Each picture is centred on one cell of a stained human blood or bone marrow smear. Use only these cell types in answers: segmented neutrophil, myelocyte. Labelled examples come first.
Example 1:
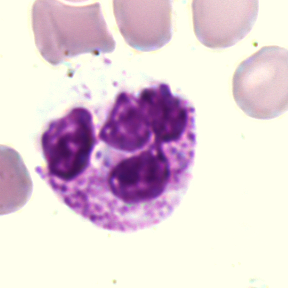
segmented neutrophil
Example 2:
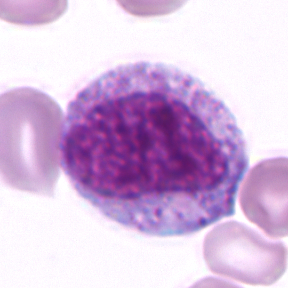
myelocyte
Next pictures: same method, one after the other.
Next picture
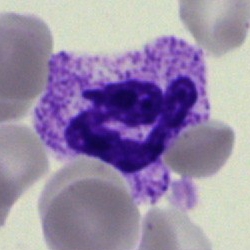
segmented neutrophil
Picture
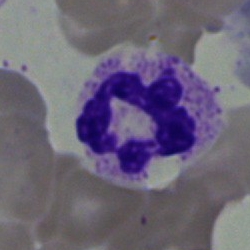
segmented neutrophil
